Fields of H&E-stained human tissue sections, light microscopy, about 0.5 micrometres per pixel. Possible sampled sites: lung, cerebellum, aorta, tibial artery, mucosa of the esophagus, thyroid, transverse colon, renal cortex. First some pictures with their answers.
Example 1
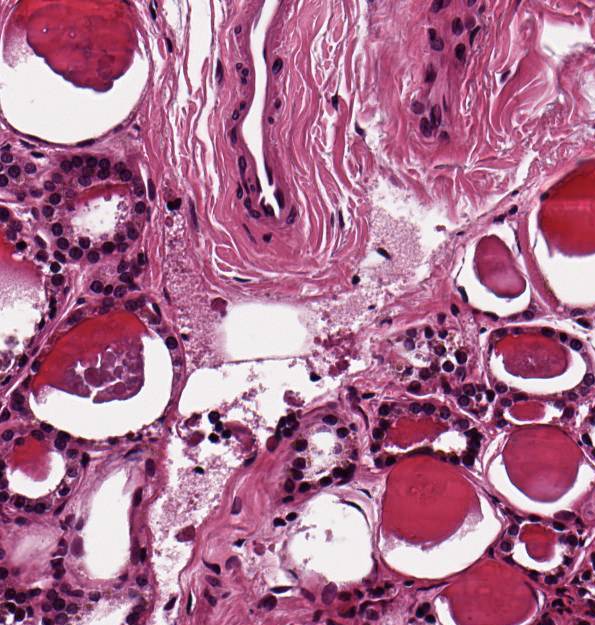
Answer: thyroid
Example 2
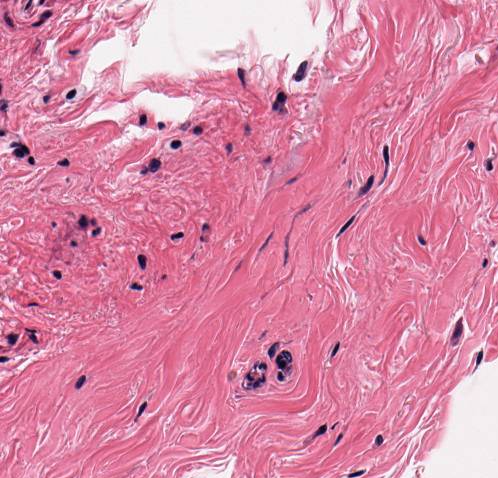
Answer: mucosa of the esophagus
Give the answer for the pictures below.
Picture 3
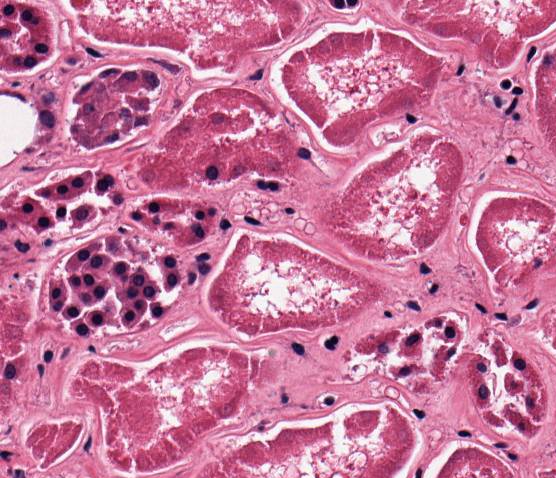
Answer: renal cortex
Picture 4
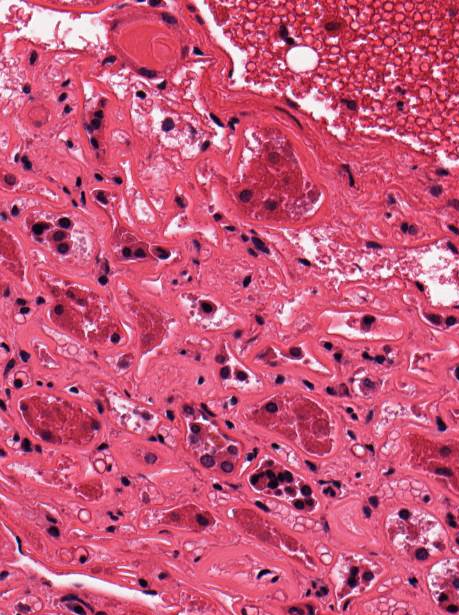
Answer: renal cortex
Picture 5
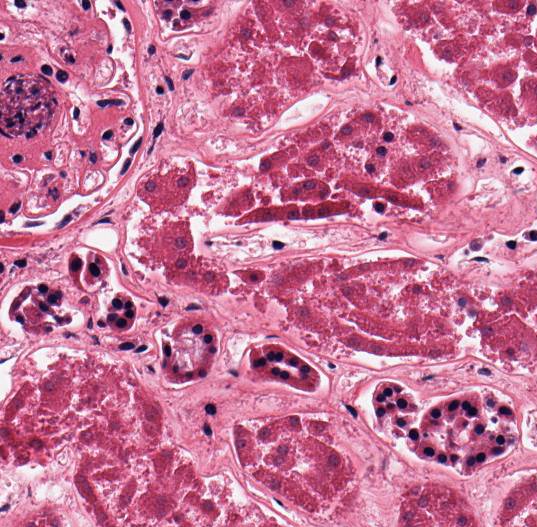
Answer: renal cortex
